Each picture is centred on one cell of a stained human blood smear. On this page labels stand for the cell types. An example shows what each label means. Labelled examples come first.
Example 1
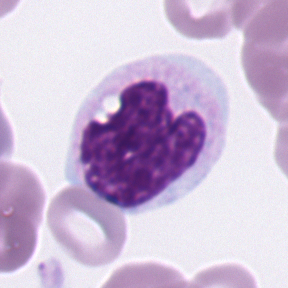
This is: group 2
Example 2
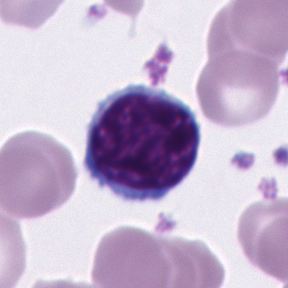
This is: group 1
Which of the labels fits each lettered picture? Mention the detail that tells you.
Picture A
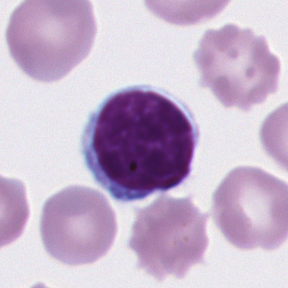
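group 1. Evidence: The cytoplasm forms only a thin rim around the nucleus.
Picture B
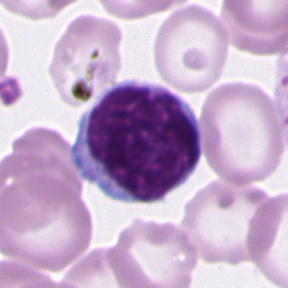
group 1. Evidence: The cytoplasm is a narrow rim around the nucleus.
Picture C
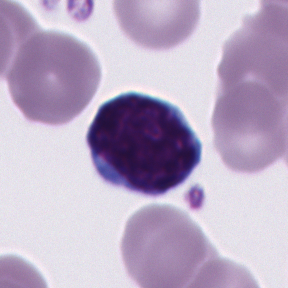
group 1. Evidence: The nucleus fills almost the whole cell, leaving very little cytoplasm.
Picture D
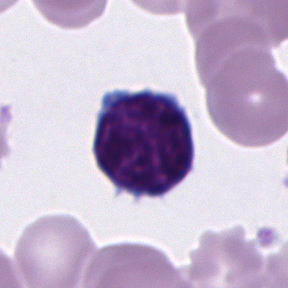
group 1. Evidence: The cytoplasm shows only as a thin blue fringe at the edge of the cell.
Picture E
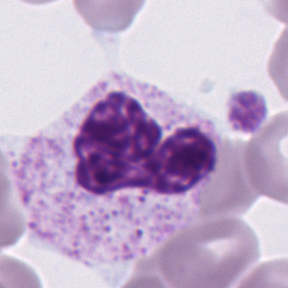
group 2. Evidence: The nucleus forms two lobes, the left one larger than the right.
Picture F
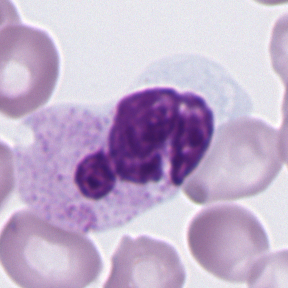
group 2. Evidence: The cytoplasm is abundant, covering a larger area than the nucleus.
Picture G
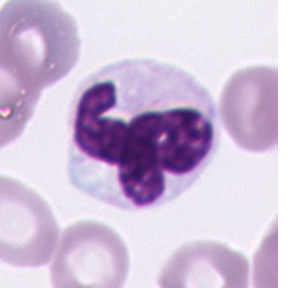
group 2. Evidence: The cytoplasm is plentiful and pale pinkish-lilac.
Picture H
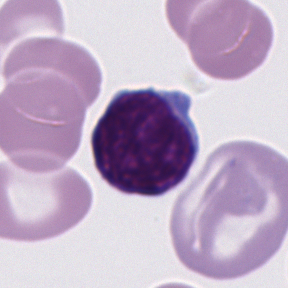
group 1. Evidence: Cytoplasm shows only as a small crescent at the upper right of the cell.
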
